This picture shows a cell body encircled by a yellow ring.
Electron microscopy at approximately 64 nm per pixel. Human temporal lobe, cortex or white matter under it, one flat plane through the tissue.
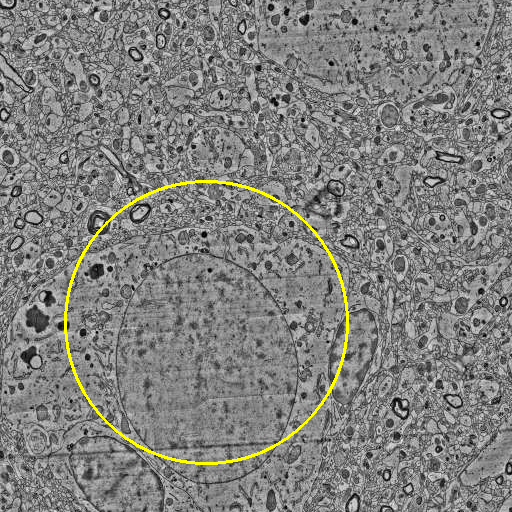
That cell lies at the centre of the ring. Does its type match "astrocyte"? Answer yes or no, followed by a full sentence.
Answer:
No, in the picture, the ring surrounds a cell of another type at its centre.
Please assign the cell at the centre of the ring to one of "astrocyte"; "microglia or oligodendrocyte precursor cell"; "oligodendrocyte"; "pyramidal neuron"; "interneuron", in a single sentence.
Instead, the ring in this picture marks a pyramidal neuron.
